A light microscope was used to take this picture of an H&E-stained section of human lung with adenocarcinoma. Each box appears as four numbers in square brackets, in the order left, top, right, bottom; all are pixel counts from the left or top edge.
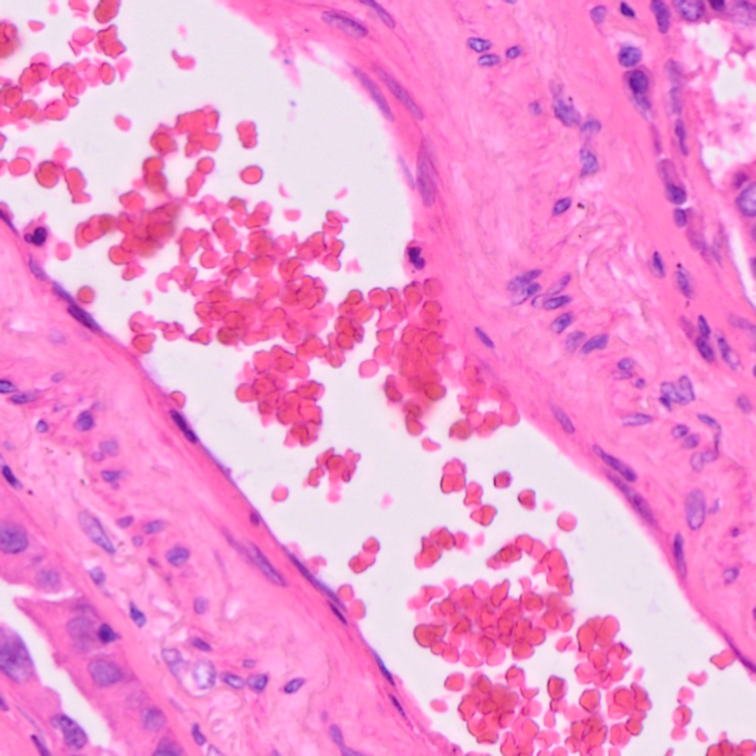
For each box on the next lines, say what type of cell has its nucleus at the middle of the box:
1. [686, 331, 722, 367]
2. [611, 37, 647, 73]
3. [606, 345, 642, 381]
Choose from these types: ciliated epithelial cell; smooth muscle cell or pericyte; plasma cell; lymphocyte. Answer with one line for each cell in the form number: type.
1: plasma cell
2: lymphocyte
3: smooth muscle cell or pericyte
